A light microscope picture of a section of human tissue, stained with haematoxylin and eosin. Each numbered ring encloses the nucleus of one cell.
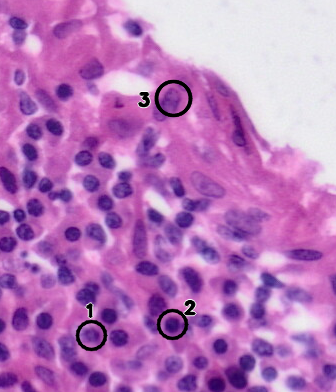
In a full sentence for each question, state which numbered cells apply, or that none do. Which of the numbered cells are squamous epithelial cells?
Among the numbered nuclei, only the one labelled 3 belongs to a squamous epithelial cell.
